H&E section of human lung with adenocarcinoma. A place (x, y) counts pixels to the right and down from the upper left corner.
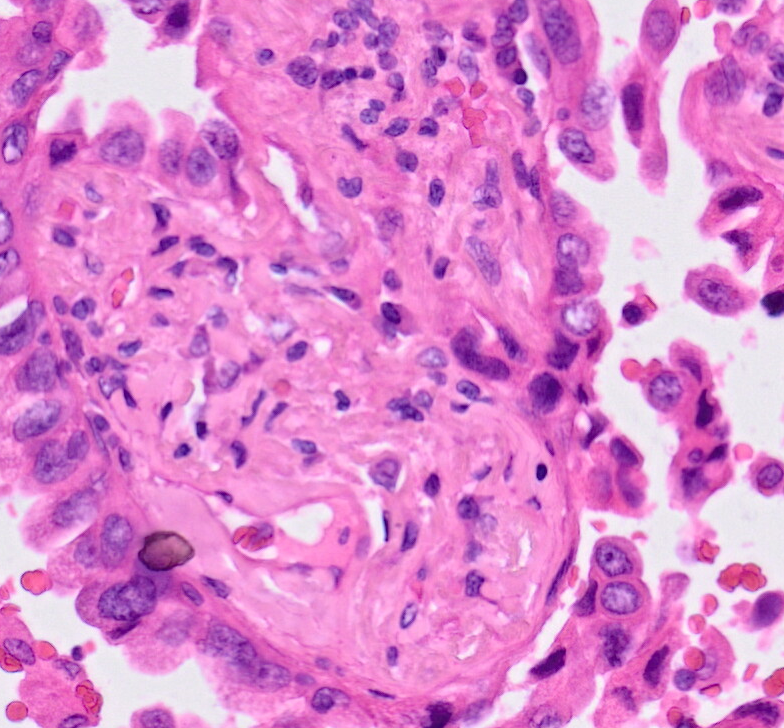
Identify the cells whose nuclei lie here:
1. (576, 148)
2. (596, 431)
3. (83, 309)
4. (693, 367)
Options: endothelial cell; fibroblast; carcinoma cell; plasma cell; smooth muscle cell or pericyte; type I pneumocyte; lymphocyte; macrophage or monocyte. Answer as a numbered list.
1. carcinoma cell
2. carcinoma cell
3. lymphocyte
4. carcinoma cell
